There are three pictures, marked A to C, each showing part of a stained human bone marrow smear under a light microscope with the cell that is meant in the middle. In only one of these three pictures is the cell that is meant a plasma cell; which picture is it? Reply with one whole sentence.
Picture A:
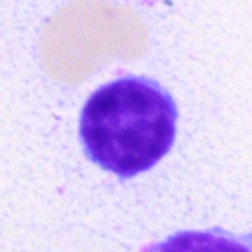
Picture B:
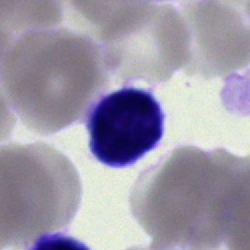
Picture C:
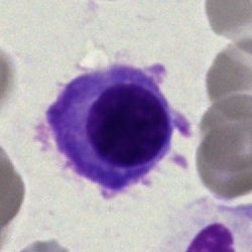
The picture with the plasma cell is C.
